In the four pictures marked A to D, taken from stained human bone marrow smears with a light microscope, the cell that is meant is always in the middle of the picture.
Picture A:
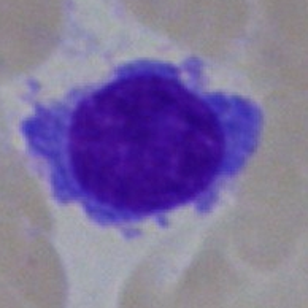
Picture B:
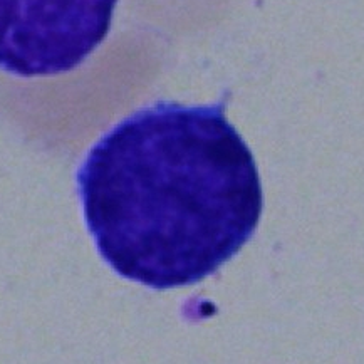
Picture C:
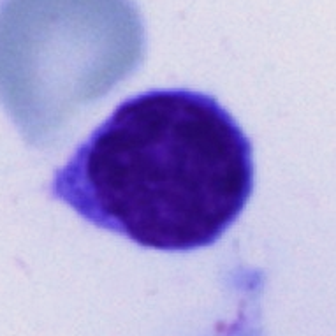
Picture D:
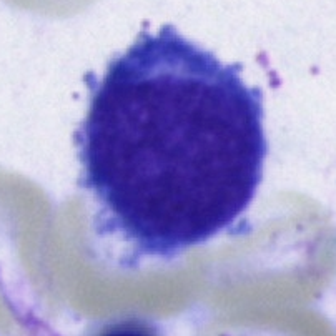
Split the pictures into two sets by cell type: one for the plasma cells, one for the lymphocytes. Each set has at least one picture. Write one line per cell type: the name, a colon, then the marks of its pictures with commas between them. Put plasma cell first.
plasma cell: A
lymphocyte: B, C, D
